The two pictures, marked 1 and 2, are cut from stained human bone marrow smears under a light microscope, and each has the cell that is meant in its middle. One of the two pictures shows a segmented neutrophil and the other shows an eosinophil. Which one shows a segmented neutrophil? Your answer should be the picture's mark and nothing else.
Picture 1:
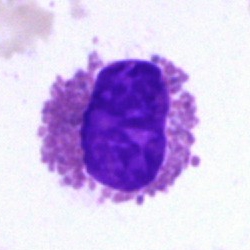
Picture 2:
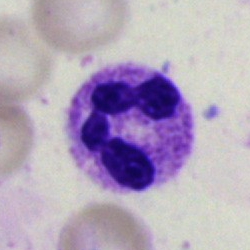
2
